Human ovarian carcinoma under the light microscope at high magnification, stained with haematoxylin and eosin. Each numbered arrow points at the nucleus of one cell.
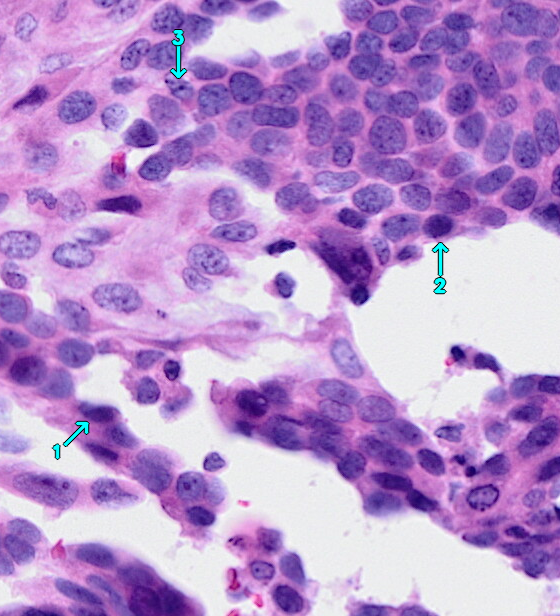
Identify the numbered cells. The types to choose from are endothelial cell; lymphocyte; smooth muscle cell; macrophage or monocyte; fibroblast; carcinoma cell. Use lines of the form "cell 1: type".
cell 1: carcinoma cell
cell 2: carcinoma cell
cell 3: macrophage or monocyte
